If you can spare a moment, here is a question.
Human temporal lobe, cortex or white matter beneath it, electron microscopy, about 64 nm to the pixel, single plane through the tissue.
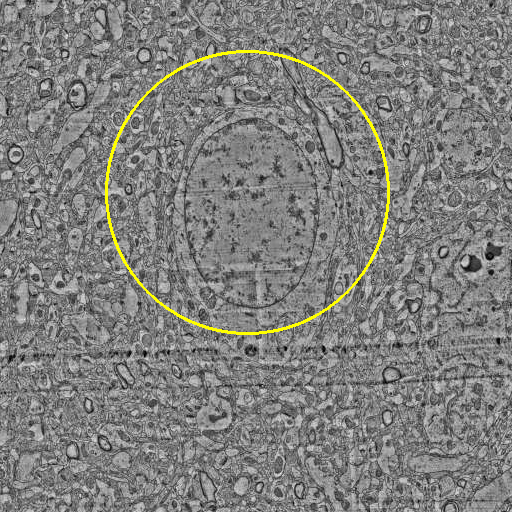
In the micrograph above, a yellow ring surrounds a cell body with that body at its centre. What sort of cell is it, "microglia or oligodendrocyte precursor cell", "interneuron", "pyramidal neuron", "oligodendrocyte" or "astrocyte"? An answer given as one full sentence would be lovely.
Centred inside the yellow ring, the cell body shown belongs to a pyramidal neuron in this micrograph.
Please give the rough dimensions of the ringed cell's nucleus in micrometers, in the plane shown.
The nucleus appears roughly 12 by 9 micrometres in this plane.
